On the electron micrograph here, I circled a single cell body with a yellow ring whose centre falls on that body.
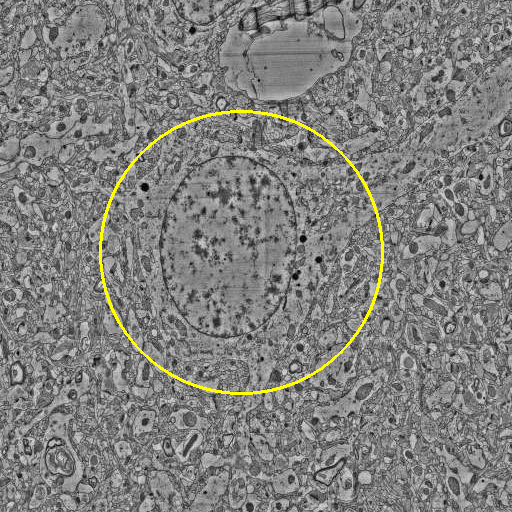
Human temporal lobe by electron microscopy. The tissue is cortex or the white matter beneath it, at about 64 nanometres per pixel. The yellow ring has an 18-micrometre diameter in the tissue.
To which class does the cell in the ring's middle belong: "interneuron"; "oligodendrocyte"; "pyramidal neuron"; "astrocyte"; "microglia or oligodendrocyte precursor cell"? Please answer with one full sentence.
In this picture, the cell body circled at the ring's centre belongs to a pyramidal neuron.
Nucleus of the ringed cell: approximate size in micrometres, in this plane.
In this plane, the nucleus of the cell at the centre of the ring measures about 12 by 9 micrometres.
